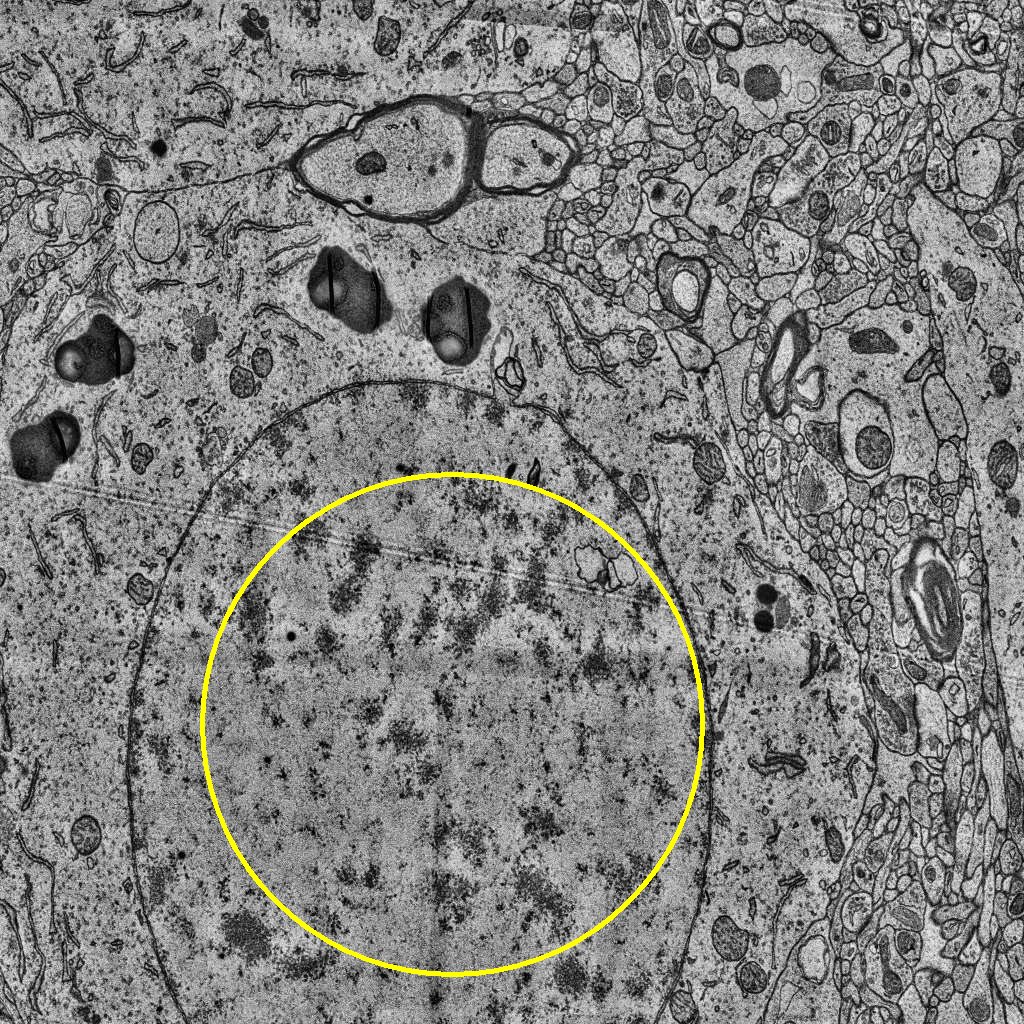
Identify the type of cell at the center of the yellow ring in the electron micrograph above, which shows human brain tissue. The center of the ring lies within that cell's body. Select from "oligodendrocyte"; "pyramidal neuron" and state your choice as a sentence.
The center of the yellow ring lies in the body of a pyramidal neuron.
